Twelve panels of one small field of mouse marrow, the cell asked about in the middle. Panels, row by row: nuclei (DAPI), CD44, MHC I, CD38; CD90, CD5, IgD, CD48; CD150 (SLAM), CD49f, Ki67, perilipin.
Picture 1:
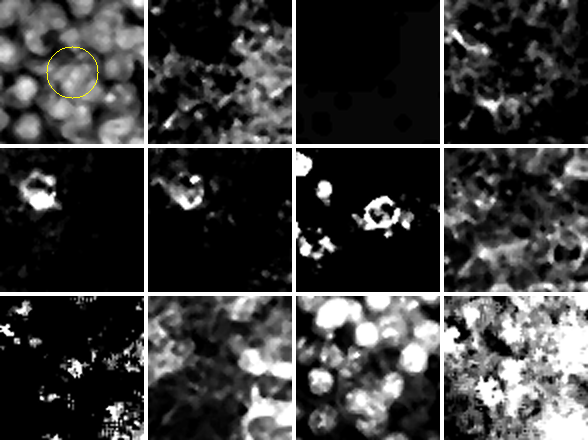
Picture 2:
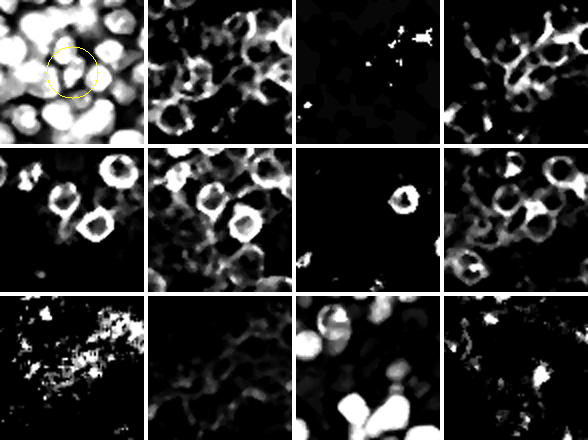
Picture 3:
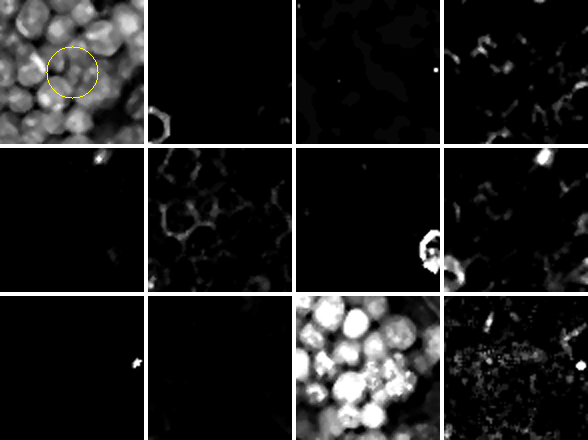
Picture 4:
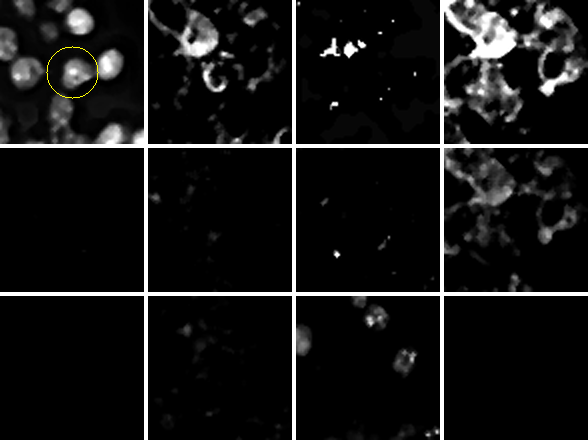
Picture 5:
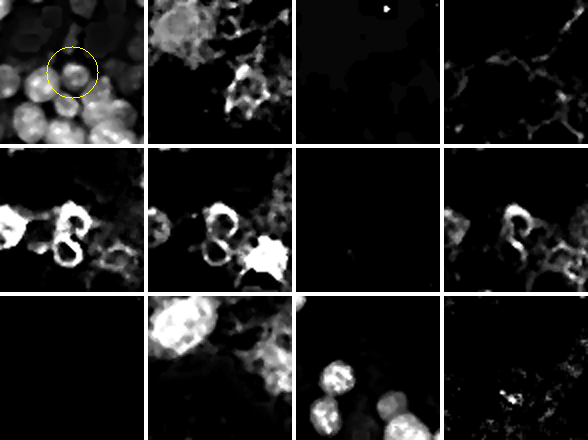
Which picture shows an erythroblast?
Picture 3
